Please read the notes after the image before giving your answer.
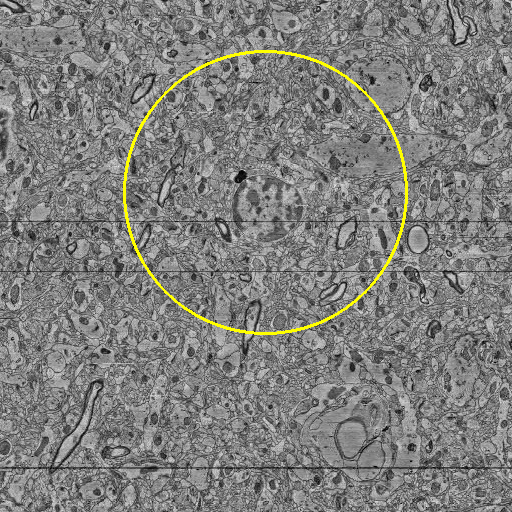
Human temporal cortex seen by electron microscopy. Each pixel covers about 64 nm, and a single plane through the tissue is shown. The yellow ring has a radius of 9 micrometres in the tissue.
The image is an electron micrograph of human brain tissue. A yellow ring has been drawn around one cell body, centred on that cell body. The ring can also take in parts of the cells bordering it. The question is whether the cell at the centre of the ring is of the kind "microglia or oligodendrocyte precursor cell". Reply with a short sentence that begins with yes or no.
Yes, the cell at the centre is of that kind.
